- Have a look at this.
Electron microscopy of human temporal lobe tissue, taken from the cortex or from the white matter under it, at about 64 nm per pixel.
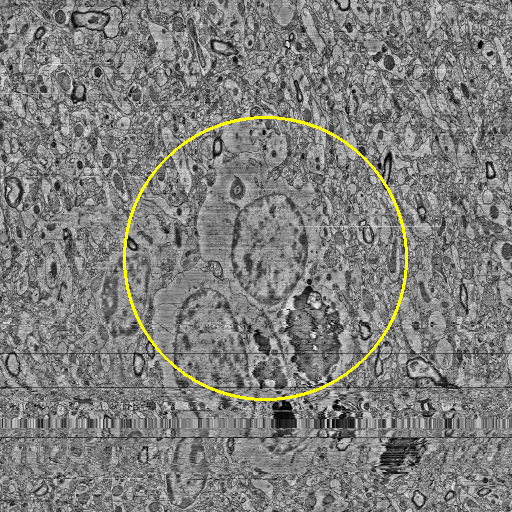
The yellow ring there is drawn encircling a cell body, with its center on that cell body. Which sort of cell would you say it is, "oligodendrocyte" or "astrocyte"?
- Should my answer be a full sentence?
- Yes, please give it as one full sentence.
For this picture, an astrocyte is the cell where the yellow ring has its center.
